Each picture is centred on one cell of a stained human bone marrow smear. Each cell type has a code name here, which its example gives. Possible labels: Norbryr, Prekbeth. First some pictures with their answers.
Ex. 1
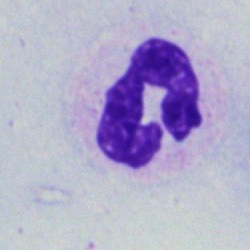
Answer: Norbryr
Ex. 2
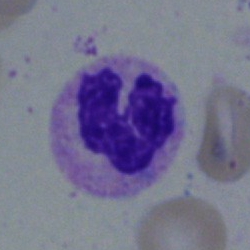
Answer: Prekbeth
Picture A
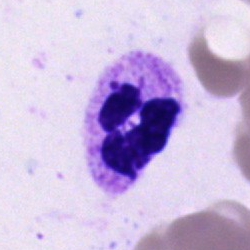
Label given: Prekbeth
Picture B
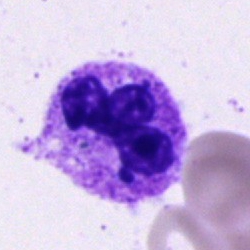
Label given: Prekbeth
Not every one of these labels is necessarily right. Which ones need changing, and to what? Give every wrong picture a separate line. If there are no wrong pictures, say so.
A: not Prekbeth but Norbryr
B: not Prekbeth but Norbryr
